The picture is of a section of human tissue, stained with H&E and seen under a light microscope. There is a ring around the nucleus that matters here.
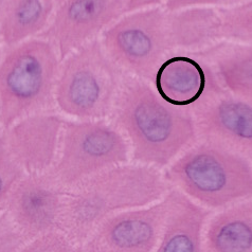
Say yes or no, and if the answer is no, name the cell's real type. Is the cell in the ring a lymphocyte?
No, it is a keratinocyte.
